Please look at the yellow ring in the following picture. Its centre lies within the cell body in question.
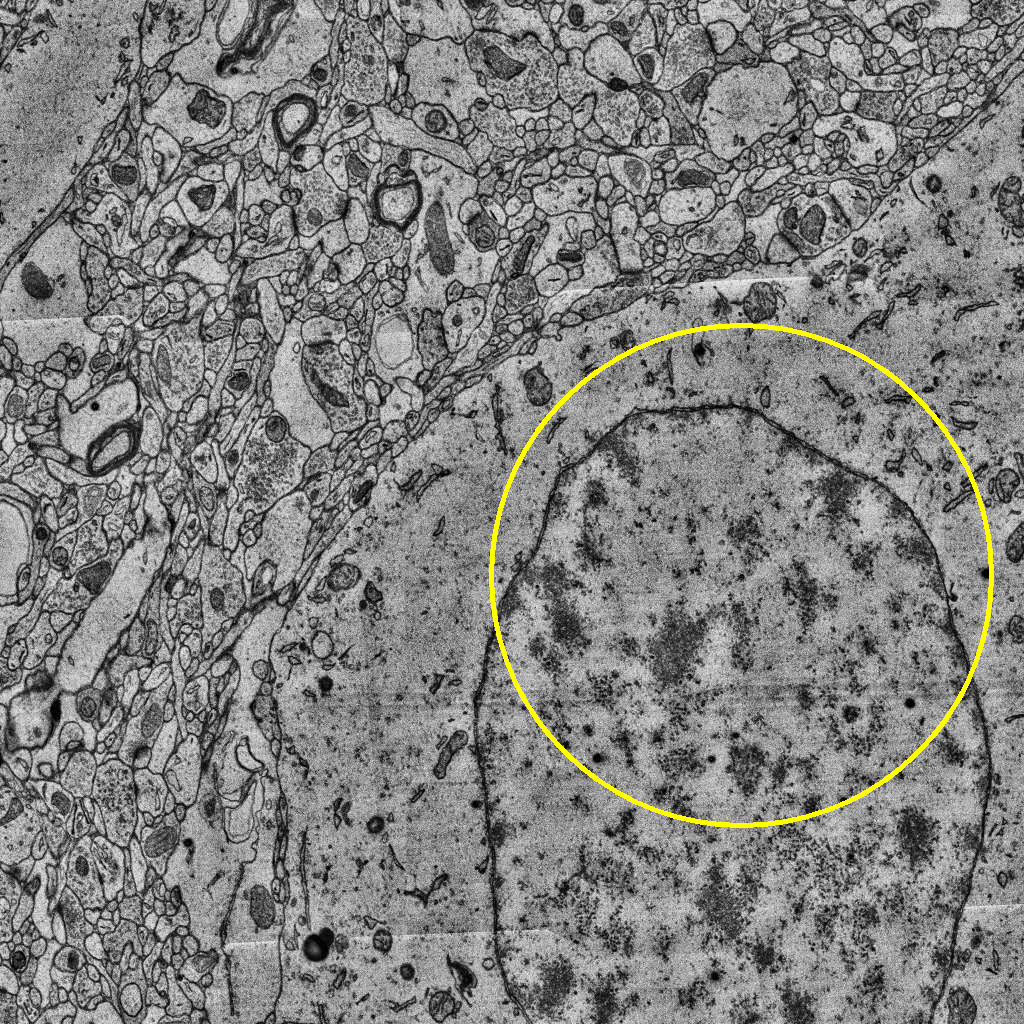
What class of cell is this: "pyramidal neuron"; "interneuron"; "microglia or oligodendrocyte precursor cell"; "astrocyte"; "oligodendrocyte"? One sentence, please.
The centre of the ring lies in the cell body of a pyramidal neuron.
